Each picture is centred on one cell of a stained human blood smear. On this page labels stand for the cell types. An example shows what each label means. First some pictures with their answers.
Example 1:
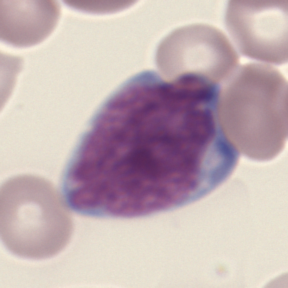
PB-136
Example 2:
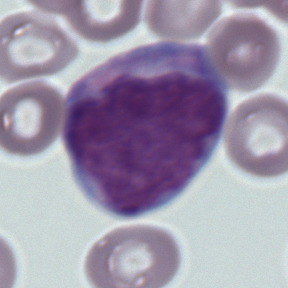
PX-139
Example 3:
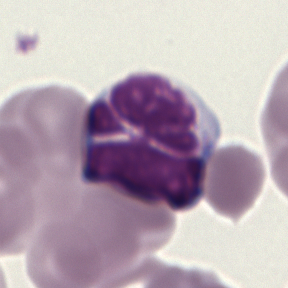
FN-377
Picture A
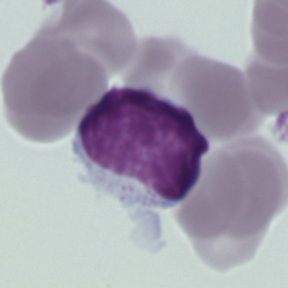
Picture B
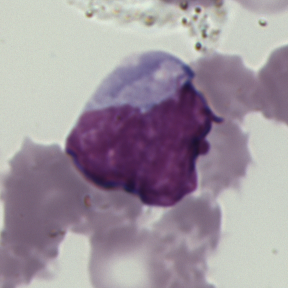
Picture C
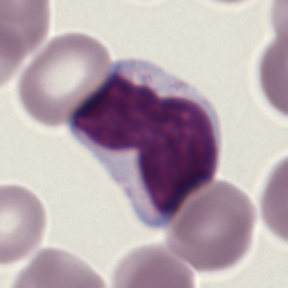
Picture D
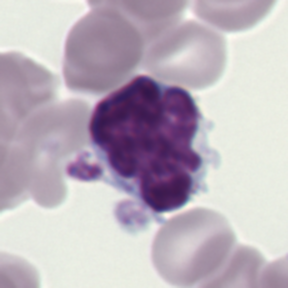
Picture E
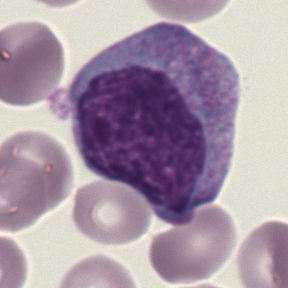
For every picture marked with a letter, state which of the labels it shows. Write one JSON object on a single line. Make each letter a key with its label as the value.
{"A": "FN-377", "B": "PB-136", "C": "FN-377", "D": "FN-377", "E": "PX-139"}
